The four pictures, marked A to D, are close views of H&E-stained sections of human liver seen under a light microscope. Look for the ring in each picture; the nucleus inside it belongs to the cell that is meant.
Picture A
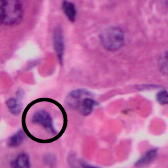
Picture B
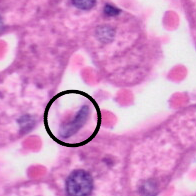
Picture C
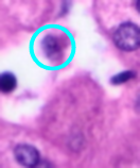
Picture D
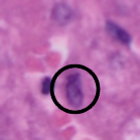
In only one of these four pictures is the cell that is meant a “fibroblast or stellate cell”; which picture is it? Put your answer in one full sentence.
The cell in picture A is the “fibroblast or stellate cell”.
